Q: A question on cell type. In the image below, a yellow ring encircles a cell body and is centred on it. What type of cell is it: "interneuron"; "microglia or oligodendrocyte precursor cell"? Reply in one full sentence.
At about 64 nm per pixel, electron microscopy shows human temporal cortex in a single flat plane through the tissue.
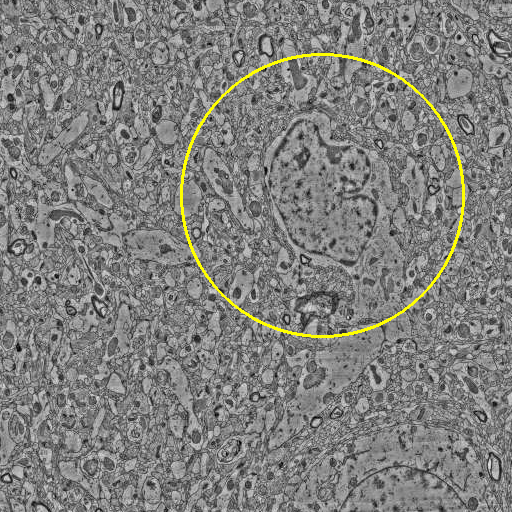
It is a microglial cell or oligodendrocyte precursor cell whose cell body sits at the centre of the yellow ring in the image.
